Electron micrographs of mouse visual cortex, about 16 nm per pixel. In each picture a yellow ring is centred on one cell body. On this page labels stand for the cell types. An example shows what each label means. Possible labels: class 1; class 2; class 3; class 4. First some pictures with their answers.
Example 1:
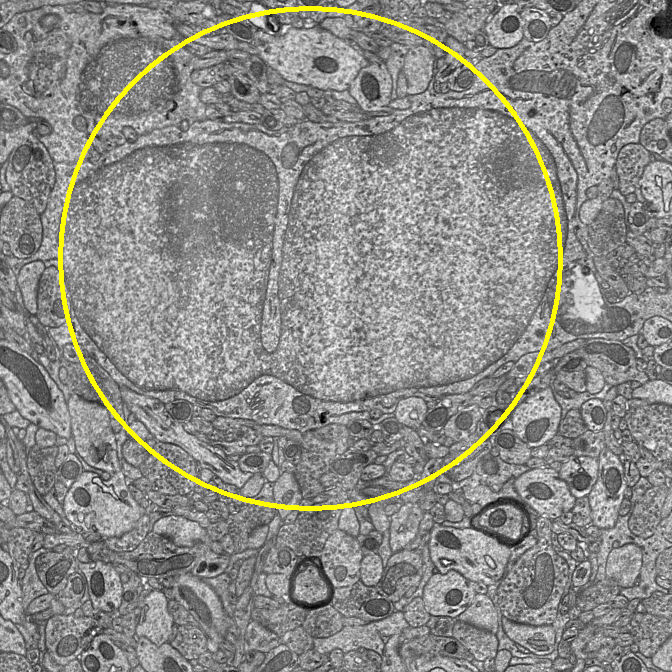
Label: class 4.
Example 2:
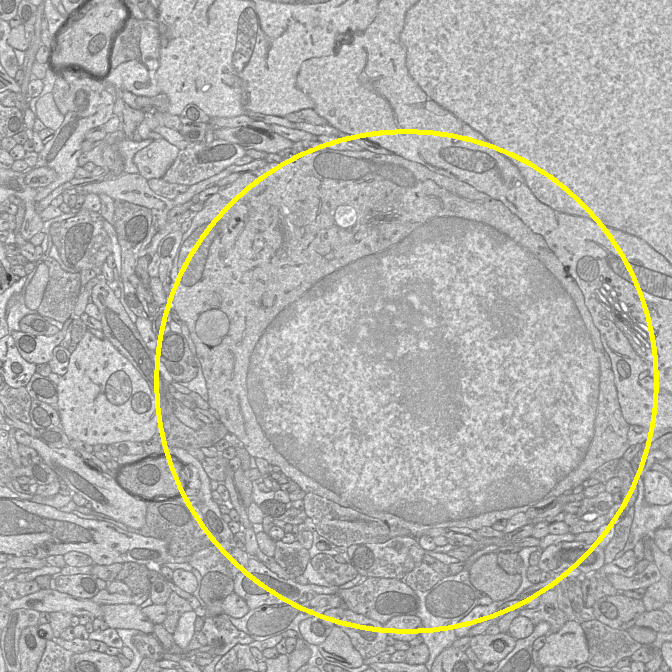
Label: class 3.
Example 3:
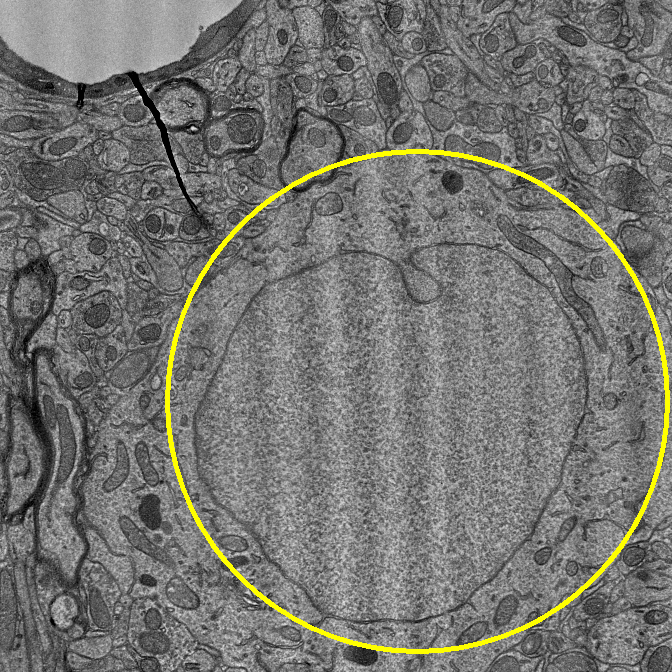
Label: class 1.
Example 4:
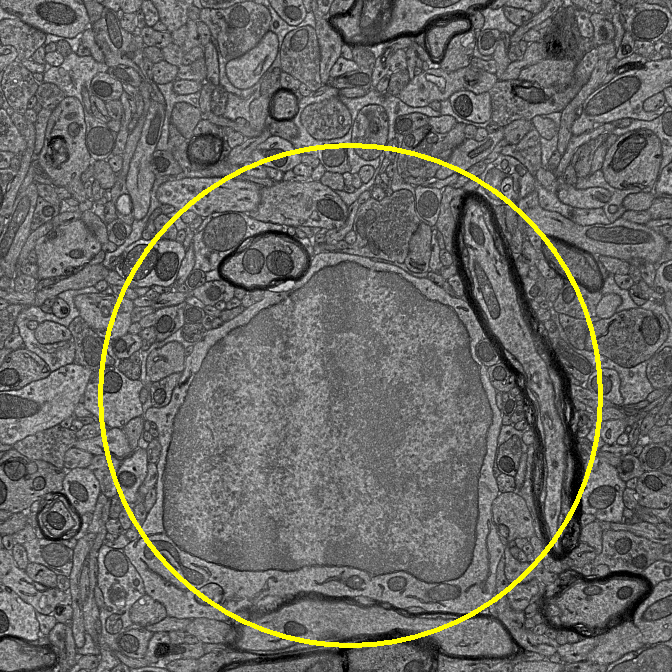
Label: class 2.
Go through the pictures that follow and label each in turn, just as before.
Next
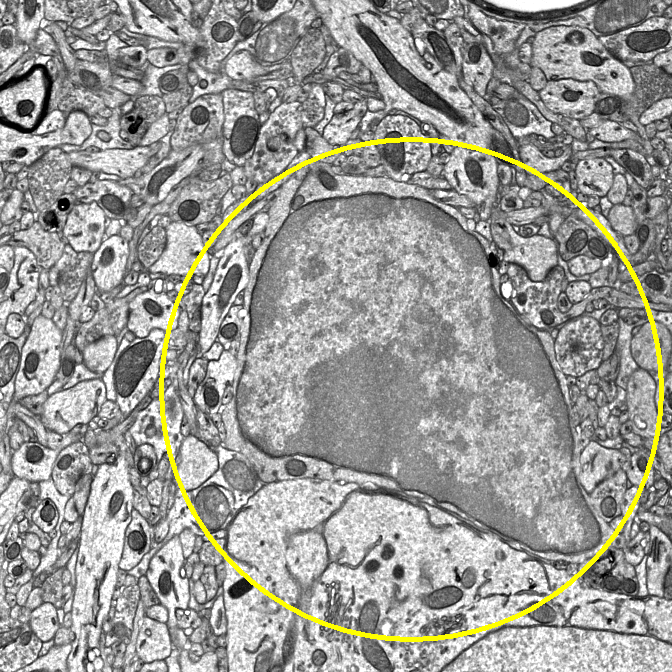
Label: class 2.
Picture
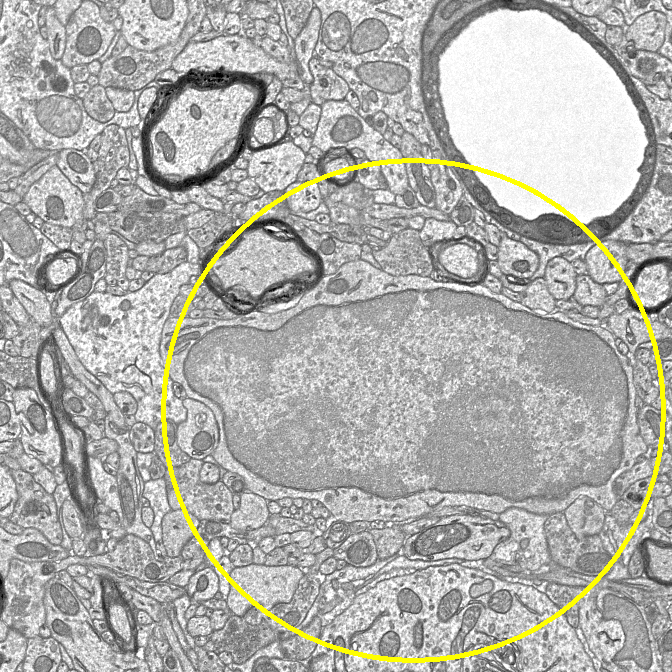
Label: class 2.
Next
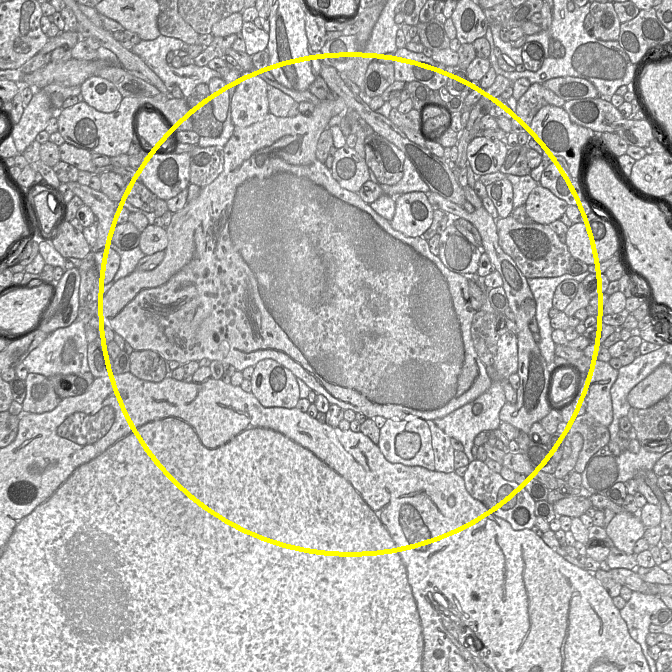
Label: class 2.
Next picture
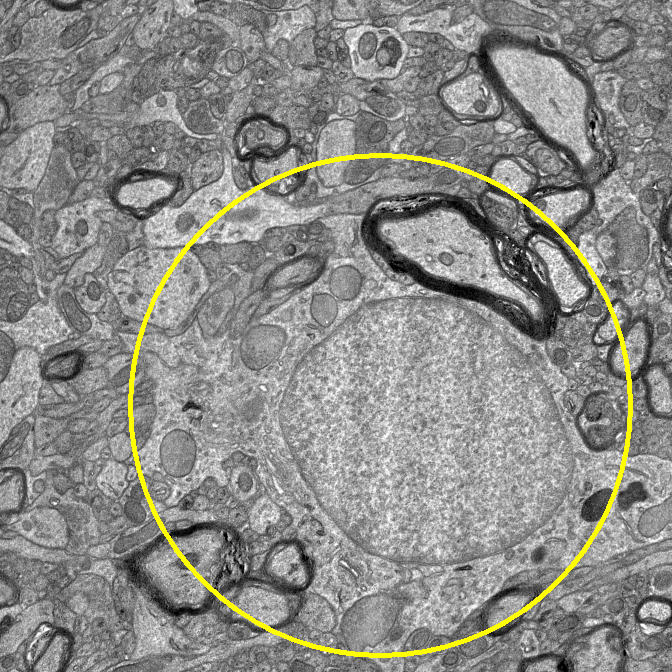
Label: class 4.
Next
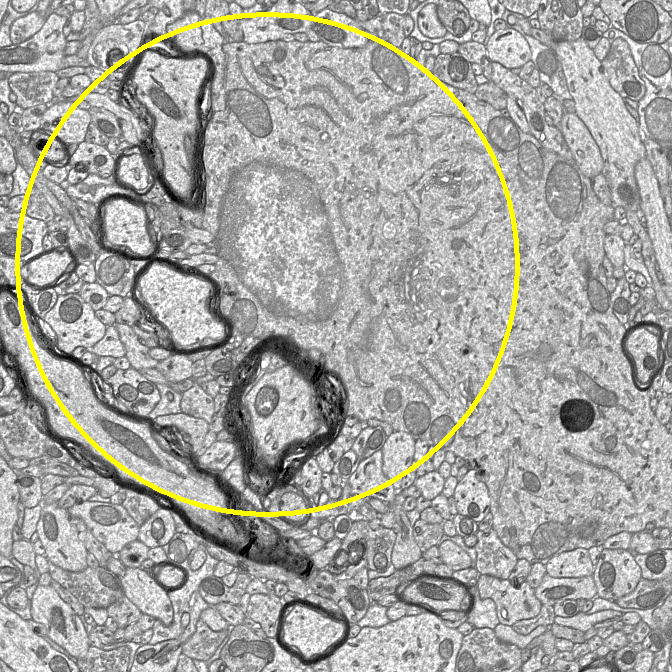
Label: class 3.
